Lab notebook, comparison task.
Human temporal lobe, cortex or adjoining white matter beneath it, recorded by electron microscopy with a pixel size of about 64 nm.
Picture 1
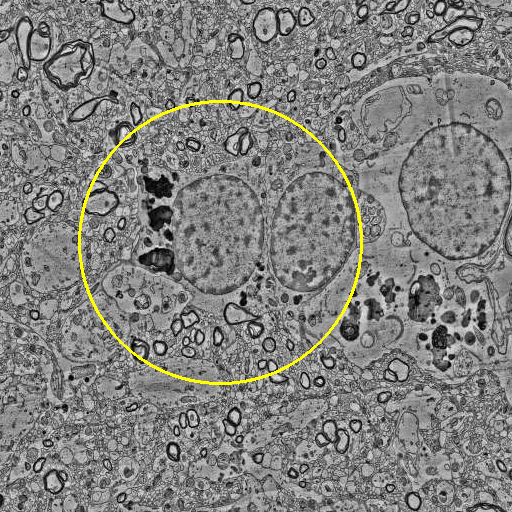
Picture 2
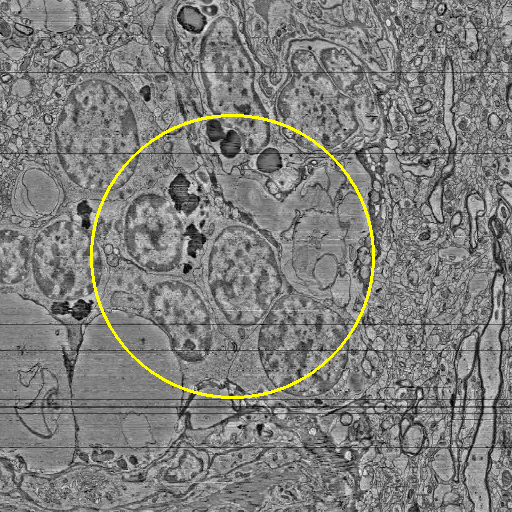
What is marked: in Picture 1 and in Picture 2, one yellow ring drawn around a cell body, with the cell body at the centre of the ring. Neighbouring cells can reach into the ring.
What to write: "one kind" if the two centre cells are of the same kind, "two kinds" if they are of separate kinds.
one kind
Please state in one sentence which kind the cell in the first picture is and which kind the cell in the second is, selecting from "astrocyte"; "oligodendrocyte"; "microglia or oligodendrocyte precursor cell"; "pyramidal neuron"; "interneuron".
In each picture the ringed cell is an oligodendrocyte.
